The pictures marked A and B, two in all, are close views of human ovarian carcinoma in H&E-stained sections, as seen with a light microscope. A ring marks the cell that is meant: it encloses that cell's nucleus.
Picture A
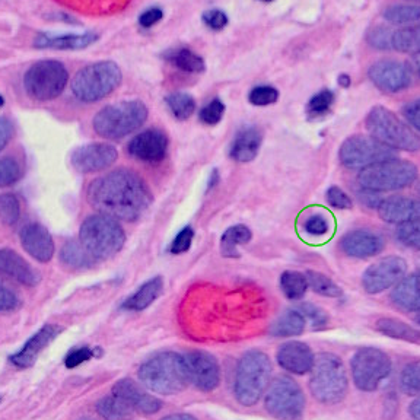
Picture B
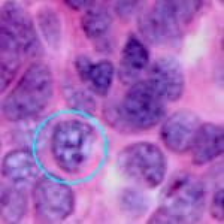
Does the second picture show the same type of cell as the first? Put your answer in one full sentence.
No. Picture A shows a lymphocyte, but picture B shows a “macrophage or monocyte”.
